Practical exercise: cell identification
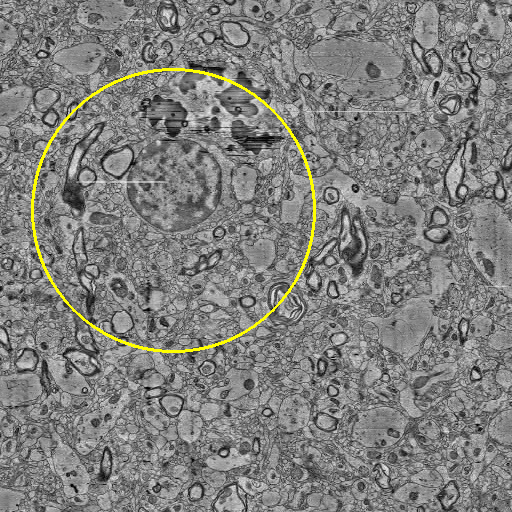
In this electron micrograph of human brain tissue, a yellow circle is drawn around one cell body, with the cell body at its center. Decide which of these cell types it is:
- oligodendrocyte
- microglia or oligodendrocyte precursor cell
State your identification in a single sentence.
The ringed cell is an oligodendrocyte.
